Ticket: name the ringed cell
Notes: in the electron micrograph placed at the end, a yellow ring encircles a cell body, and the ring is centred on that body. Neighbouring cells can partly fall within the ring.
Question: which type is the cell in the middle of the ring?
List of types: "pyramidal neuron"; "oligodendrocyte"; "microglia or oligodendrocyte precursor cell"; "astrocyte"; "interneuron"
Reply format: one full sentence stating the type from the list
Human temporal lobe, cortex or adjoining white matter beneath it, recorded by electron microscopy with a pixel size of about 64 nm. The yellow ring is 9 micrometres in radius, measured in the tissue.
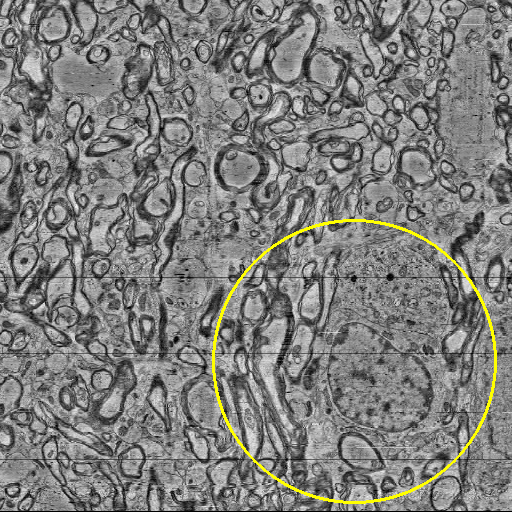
The cell sitting at the centre of the yellow ring is a microglial cell or oligodendrocyte precursor cell.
